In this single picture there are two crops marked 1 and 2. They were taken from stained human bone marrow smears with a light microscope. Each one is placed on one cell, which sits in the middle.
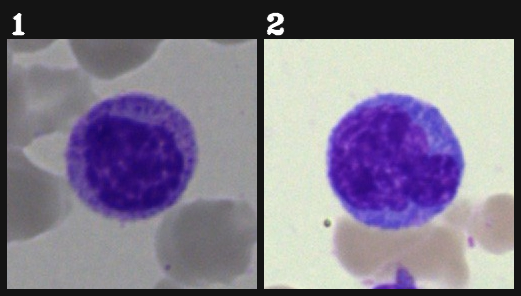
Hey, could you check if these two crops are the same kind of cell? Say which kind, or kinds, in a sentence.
No, crop 1 is of a myelocyte, and crop 2 is of a monocyte.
